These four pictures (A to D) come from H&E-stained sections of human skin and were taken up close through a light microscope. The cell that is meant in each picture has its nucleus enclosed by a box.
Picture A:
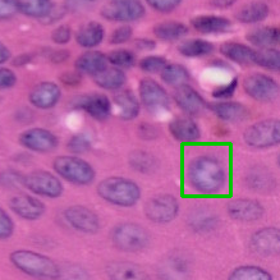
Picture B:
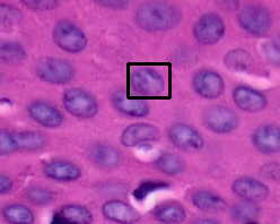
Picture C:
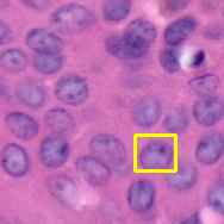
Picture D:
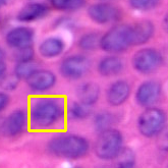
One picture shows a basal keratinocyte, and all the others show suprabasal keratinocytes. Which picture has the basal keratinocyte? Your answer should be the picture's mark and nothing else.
D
